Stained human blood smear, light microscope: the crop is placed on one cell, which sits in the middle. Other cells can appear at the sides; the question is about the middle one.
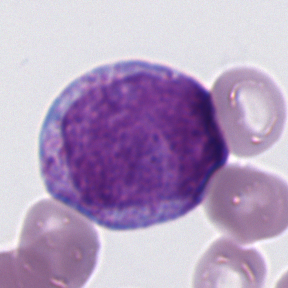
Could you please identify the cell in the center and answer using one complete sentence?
The cell marked by its central position in the crop is an atypical promyelocyte.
